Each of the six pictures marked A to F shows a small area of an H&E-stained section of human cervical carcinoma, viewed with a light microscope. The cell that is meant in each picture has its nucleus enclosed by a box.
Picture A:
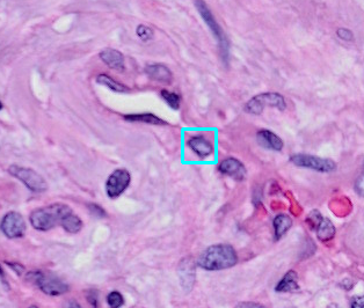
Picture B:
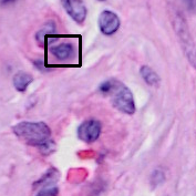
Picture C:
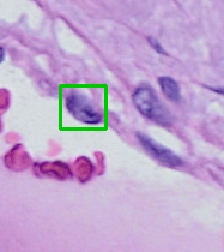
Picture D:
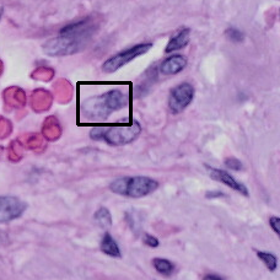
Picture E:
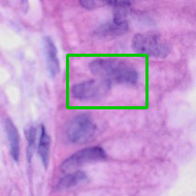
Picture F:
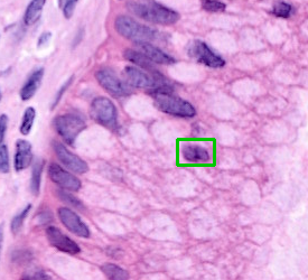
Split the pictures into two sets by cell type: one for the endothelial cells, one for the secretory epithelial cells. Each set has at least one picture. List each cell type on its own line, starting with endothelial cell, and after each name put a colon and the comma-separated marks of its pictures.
endothelial cell: A, B, C, D
secretory epithelial cell: E, F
